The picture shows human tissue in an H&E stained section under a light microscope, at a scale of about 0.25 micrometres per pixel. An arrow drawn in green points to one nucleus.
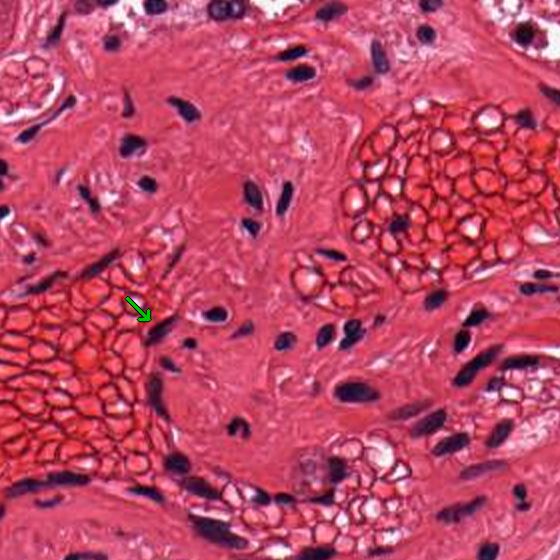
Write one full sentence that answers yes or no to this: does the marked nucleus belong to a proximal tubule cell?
No, rather than a proximal tubule cell, it is a supporting cell that contains the marked nucleus.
